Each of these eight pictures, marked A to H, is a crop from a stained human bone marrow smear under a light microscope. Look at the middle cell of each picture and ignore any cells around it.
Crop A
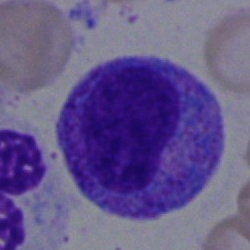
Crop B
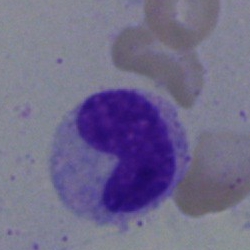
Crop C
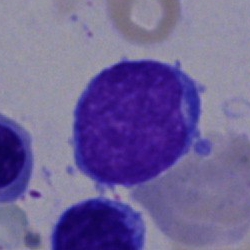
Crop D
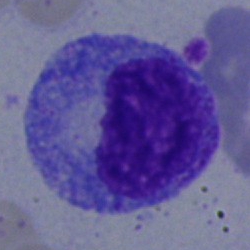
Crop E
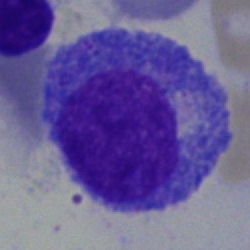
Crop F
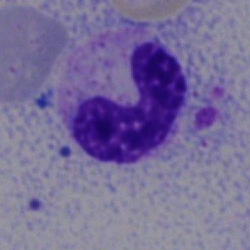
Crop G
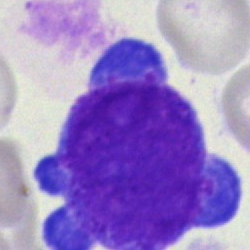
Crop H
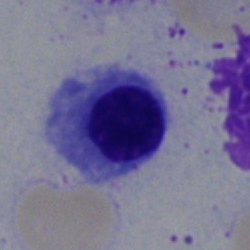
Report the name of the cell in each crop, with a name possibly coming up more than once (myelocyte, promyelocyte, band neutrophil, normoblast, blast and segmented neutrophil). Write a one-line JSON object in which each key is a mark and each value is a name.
{"A": "myelocyte", "B": "band neutrophil", "C": "blast", "D": "promyelocyte", "E": "promyelocyte", "F": "band neutrophil", "G": "blast", "H": "normoblast"}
